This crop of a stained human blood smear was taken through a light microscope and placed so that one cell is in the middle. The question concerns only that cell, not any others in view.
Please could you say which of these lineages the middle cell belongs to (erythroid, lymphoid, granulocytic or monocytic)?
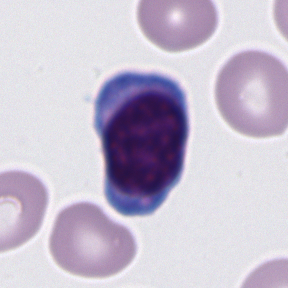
erythroid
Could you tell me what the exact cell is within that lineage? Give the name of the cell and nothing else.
normoblast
